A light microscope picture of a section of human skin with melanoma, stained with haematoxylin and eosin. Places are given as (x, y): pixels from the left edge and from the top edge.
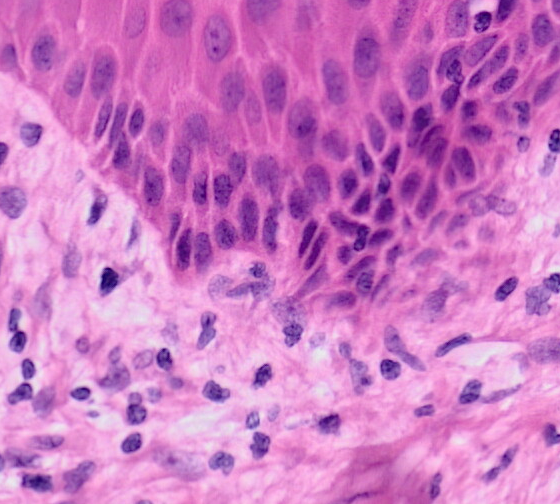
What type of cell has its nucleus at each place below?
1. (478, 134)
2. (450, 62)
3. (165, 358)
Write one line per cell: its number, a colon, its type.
1: keratinocyte
2: keratinocyte
3: lymphocyte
